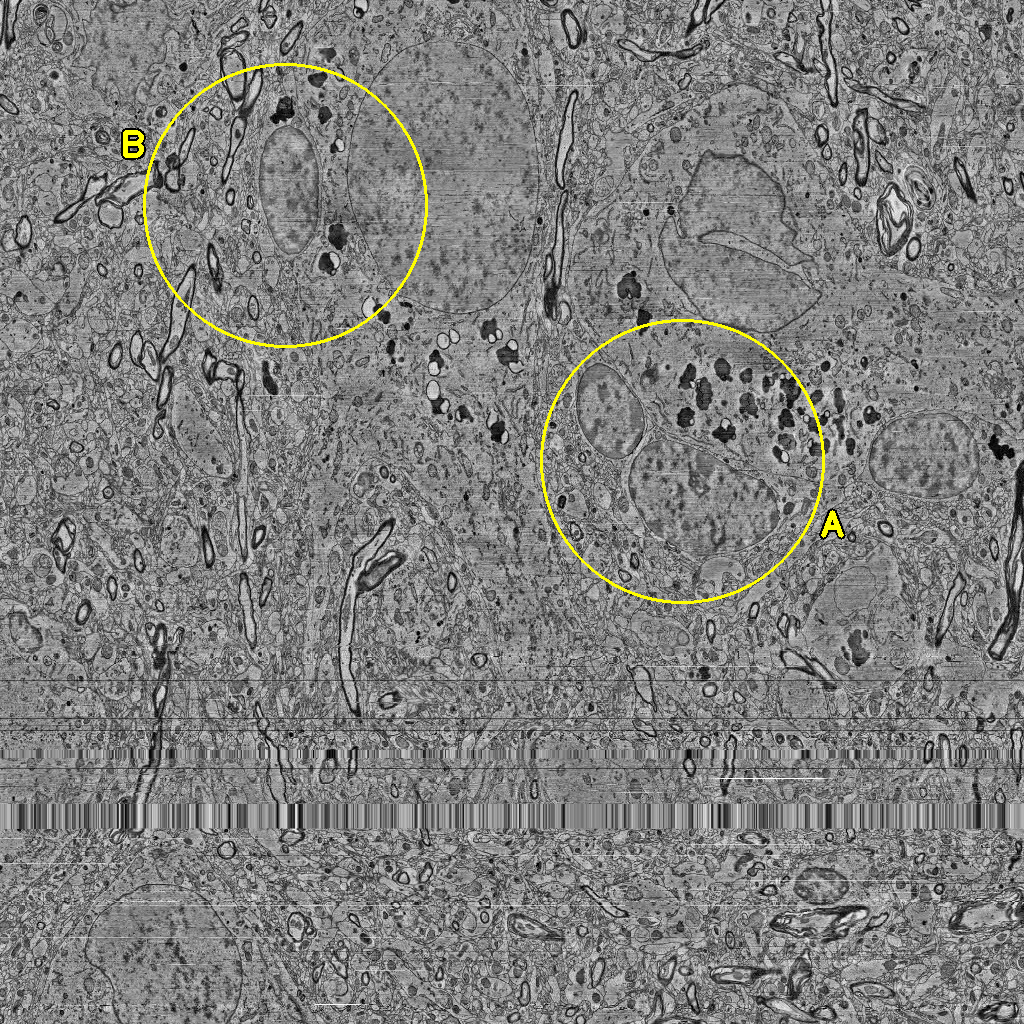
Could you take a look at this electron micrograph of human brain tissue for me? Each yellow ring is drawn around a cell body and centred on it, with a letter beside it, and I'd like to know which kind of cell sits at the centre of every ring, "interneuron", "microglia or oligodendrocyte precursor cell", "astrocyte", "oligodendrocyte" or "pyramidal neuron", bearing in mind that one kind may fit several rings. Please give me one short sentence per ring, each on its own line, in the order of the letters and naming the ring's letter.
Ring A is centred on a microglial cell or oligodendrocyte precursor cell.
Ring B is centred on an oligodendrocyte.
